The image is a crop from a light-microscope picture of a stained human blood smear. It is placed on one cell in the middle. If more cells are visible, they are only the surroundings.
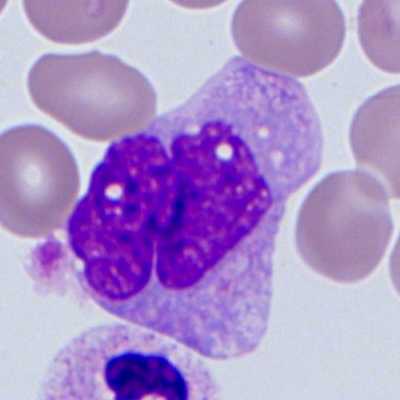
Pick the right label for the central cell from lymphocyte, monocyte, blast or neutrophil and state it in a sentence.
The cell found in the middle of this crop is a monocyte.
